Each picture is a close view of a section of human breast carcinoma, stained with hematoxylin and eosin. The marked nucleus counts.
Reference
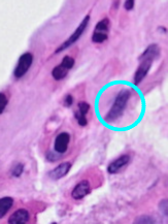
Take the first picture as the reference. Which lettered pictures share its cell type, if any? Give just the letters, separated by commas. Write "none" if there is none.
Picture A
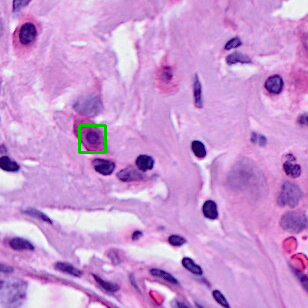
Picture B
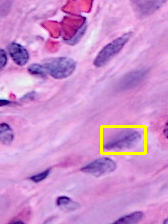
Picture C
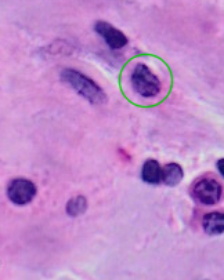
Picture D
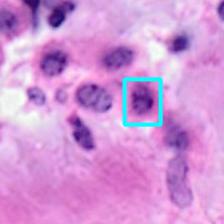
B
